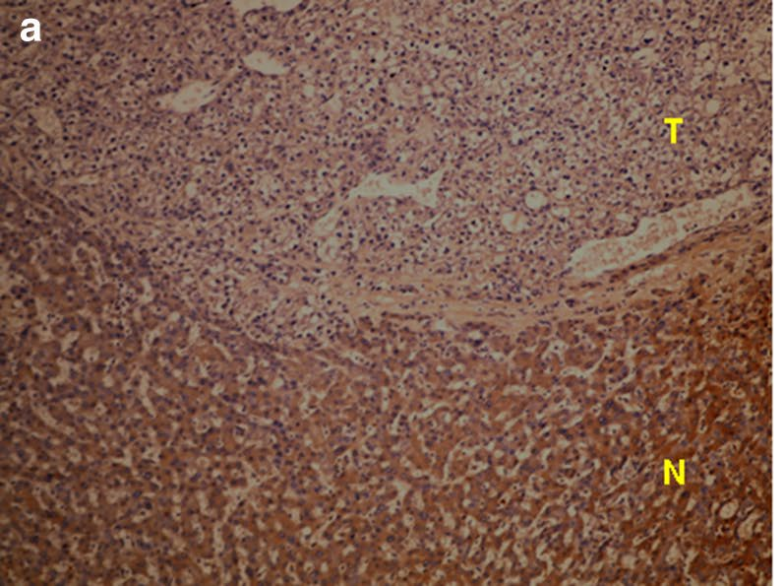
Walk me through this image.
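Liver with a hepatocellular carcinoma in the upper half and non-cancerous parenchyma in the lower half. The tumour is crowded with nuclei, its cells are lightly stained and contain scattered rounded clear spaces and a few open vascular channels. The non-tumorous hepatocytes below form plates with intense brown cytoplasmic staining, separated by narrow sinusoidal spaces. A band of paler, elongated tissue runs obliquely between the two regions.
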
